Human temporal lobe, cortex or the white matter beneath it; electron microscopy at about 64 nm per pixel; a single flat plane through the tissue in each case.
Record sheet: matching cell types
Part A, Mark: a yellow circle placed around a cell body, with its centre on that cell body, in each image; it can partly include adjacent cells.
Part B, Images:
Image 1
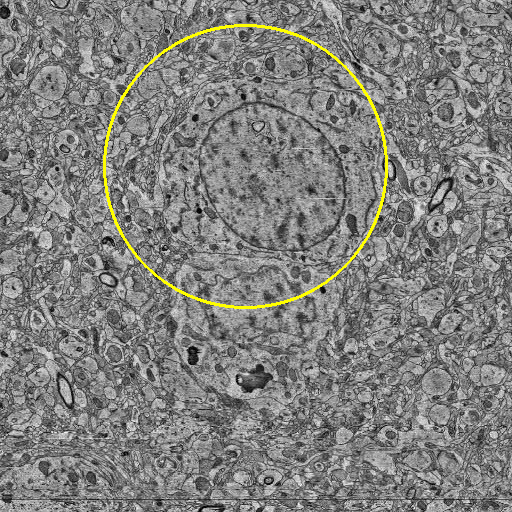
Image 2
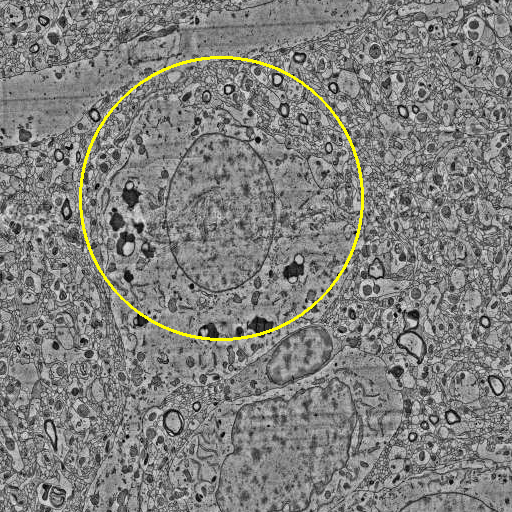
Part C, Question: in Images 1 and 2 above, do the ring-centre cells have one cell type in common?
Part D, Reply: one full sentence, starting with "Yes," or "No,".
Yes, the ring-centre cells of Image 1 and Image 2 are both of a single cell type.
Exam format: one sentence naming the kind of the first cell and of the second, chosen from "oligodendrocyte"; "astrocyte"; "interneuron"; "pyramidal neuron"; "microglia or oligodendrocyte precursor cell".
The first and the second cell are each a pyramidal neuron.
